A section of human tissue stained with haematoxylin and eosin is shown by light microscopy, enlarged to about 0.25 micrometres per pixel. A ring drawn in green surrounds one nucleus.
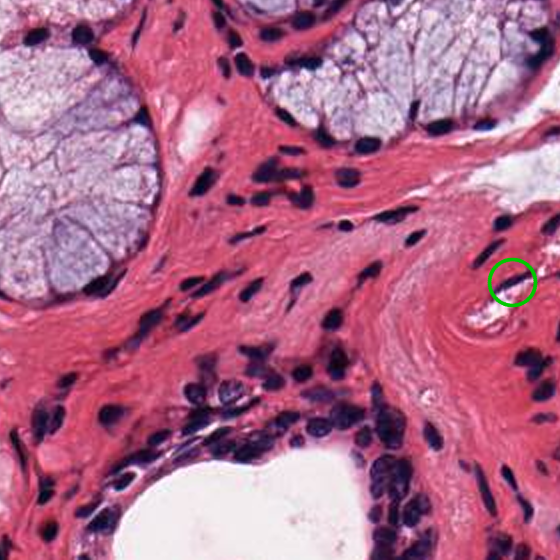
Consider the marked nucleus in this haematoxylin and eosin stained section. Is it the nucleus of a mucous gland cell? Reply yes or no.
no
